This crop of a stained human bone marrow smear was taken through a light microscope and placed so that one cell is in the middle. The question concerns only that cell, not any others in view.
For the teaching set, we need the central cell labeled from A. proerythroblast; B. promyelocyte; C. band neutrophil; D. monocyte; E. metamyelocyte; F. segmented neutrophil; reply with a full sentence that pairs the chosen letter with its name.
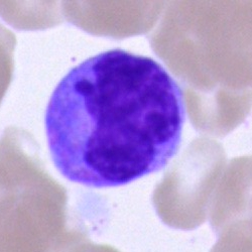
Option D is right, the centrally situated cell being a monocyte.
